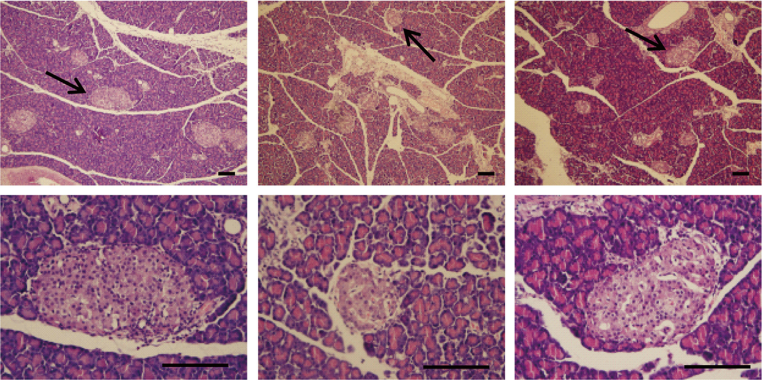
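Low- and high-magnification views of pancreas show dense pink-purple exocrine acini divided into lobules by pale septa, with scattered rounded pale clusters of small cells. At higher power each pale cluster is a pancreatic islet of lightly stained cells with small round nuclei, sharply set off from the surrounding darker acinar cells; the islets differ in size between the views.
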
